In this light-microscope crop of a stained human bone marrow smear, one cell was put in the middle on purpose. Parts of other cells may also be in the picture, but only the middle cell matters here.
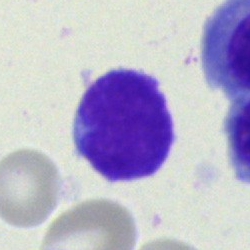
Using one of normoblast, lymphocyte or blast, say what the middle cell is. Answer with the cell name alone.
lymphocyte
